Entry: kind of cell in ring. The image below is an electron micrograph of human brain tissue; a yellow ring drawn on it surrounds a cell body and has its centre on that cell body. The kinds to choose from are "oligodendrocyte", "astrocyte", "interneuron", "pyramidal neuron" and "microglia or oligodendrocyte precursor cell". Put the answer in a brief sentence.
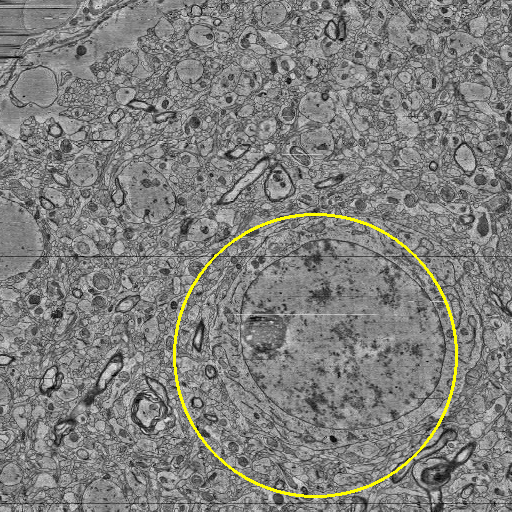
The ring has been drawn around a pyramidal neuron.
